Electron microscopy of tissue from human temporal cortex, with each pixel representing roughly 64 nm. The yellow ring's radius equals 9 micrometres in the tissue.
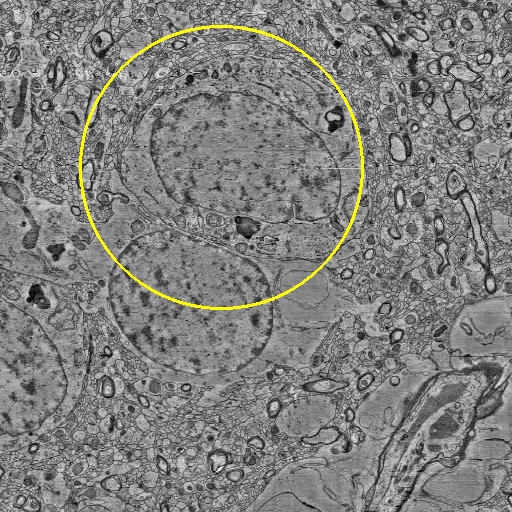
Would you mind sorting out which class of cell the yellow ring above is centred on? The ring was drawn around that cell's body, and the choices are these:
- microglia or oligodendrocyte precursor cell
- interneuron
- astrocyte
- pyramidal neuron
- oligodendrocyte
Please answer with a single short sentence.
This is the cell body of a pyramidal neuron.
